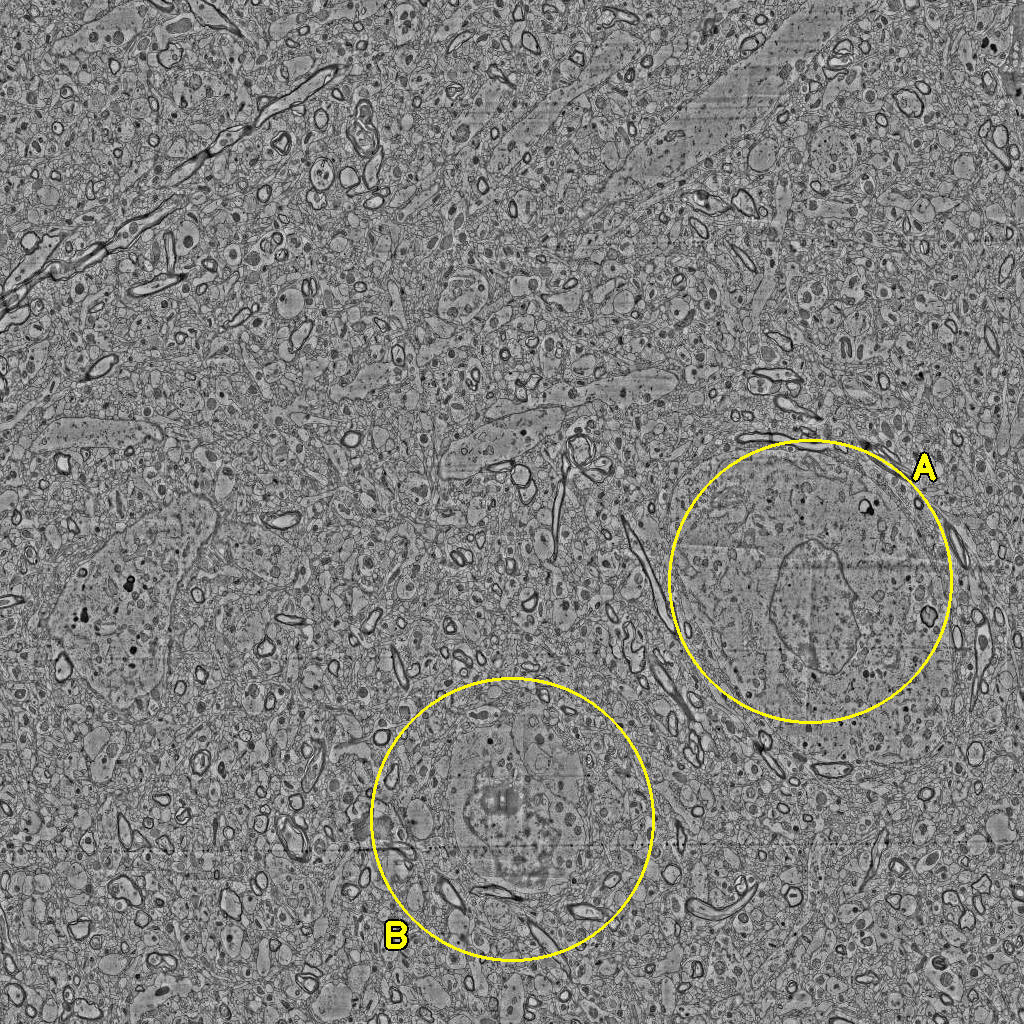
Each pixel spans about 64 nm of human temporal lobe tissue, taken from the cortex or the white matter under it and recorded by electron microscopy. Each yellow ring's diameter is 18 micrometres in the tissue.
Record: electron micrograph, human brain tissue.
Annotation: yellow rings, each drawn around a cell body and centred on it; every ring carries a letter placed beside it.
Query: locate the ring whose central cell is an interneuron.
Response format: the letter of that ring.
B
